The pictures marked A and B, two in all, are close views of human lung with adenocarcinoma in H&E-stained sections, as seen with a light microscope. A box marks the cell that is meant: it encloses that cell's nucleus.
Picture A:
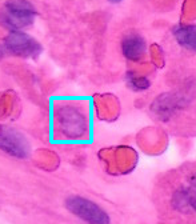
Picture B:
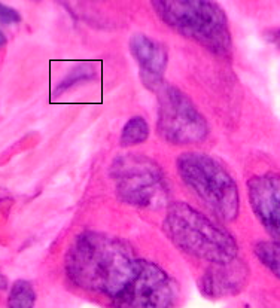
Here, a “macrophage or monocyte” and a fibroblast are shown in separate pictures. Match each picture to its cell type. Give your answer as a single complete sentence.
Picture B shows a fibroblast, while picture A shows a “macrophage or monocyte”.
